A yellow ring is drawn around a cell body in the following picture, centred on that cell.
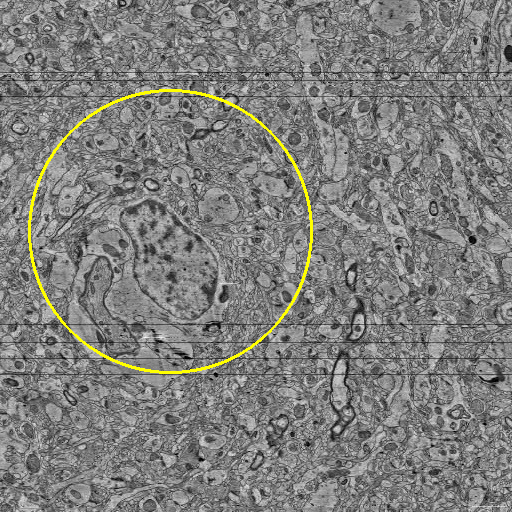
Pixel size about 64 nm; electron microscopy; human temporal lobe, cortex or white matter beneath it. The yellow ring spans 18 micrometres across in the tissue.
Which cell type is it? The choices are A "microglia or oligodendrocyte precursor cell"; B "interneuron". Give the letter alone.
A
